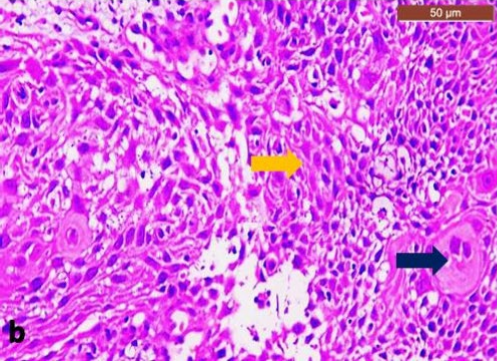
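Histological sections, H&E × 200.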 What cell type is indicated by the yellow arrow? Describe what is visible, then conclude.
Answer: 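Malignant squamous epithelial cells. Sheets of polygonal cells with eosinophilic cytoplasm. Nuclei vary in size and shape and are hyperchromatic. Cells are crowded and disorganized.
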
